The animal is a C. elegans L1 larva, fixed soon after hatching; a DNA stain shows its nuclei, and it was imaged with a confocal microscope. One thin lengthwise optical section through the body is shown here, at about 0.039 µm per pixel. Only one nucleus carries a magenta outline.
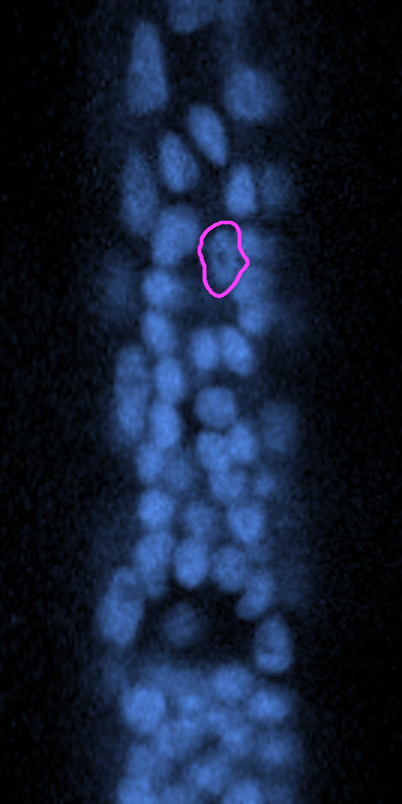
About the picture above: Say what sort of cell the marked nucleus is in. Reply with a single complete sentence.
What is marked is the nucleus of a seam cell.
